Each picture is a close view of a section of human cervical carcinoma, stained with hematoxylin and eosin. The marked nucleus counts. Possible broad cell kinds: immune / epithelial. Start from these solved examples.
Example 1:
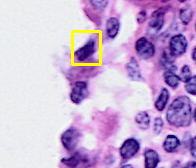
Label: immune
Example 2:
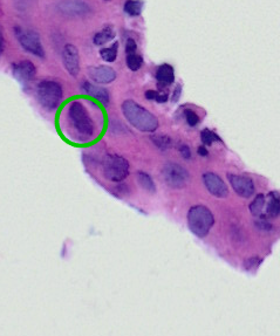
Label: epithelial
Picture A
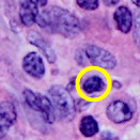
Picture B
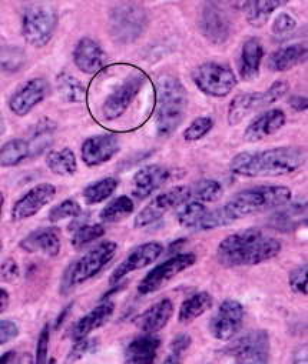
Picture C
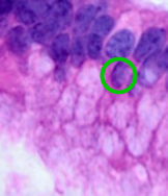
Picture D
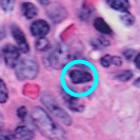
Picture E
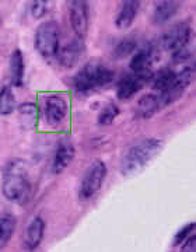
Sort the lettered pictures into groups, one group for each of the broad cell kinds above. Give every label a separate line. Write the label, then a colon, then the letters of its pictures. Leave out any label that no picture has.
immune: A, D
epithelial: B, C, E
